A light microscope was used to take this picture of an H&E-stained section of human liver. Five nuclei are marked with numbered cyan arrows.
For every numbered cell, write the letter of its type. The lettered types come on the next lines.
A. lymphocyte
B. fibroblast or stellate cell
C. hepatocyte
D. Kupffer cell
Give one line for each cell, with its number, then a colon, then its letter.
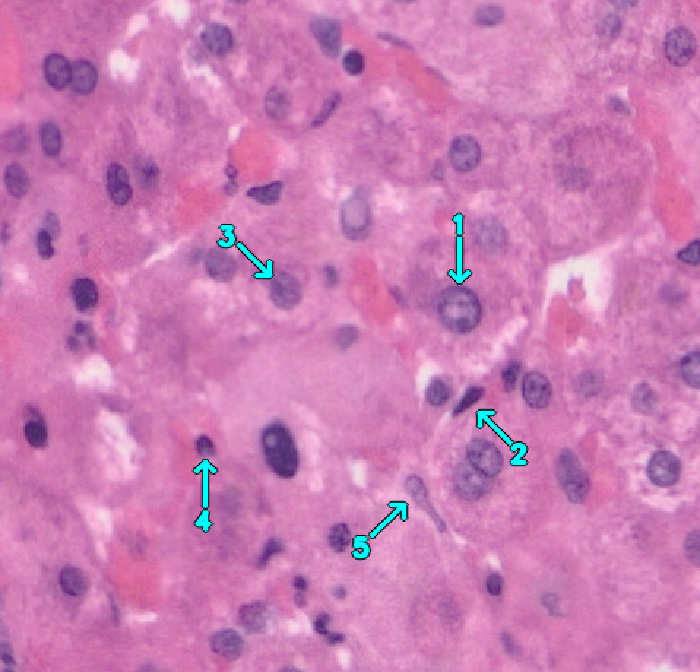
1: C
2: B
3: C
4: A
5: D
